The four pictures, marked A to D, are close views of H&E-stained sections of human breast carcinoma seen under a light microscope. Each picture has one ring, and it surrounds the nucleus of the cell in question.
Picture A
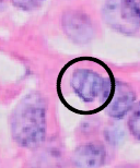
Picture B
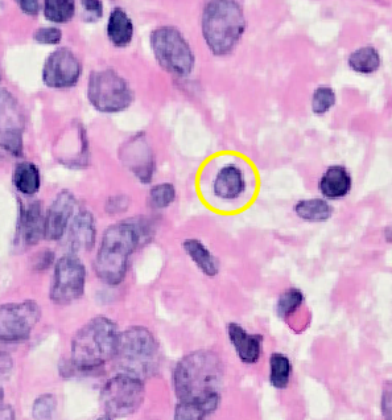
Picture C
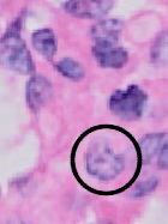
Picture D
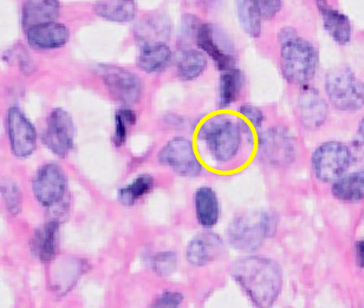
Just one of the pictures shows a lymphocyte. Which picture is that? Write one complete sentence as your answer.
The picture with the lymphocyte is B.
